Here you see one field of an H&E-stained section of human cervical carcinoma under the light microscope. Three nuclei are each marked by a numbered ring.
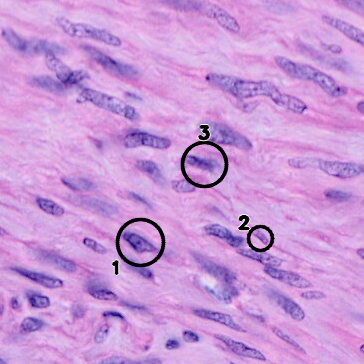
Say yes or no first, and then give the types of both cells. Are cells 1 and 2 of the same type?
No, cell 1 is a fibroblast and cell 2 is a smooth muscle cell.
